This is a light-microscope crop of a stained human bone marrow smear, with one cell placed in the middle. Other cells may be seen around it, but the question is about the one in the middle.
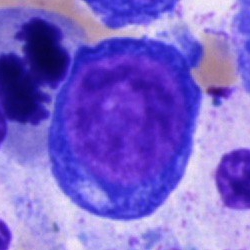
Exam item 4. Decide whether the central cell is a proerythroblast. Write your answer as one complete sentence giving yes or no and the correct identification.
Yes, the central cell of this crop corresponds to a proerythroblast.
